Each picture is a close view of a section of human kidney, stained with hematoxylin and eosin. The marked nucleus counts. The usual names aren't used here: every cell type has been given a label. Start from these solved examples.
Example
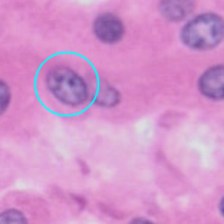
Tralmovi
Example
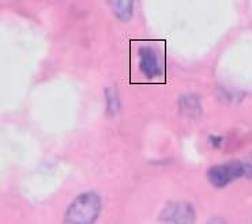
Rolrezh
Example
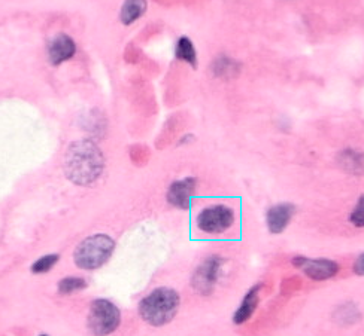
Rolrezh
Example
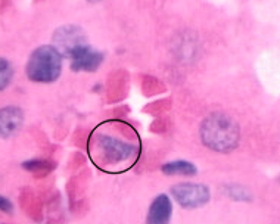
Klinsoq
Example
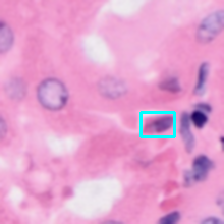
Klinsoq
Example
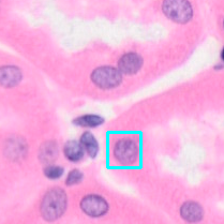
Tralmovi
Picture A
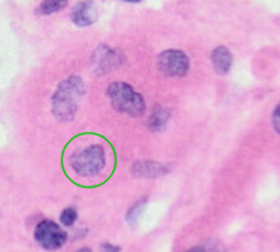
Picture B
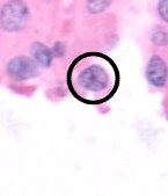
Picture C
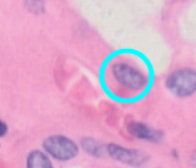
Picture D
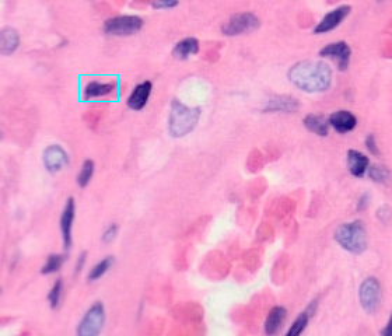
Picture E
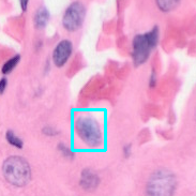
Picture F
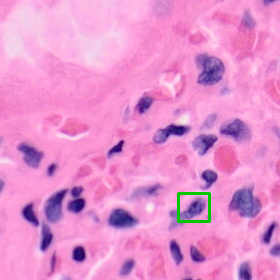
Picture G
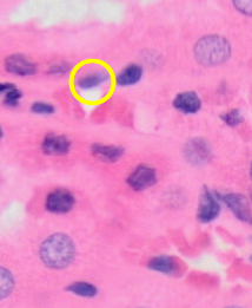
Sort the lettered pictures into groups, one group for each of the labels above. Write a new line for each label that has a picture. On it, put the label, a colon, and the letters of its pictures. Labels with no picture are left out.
Rolrezh: A, B, C
Klinsoq: D, E, F, G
